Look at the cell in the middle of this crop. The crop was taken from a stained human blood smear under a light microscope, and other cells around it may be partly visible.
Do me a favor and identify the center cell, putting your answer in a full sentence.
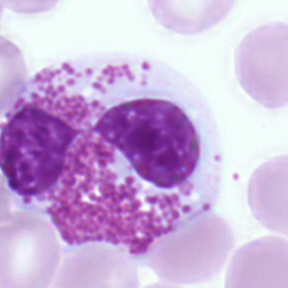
Here the cell in the middle is an eosinophil.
